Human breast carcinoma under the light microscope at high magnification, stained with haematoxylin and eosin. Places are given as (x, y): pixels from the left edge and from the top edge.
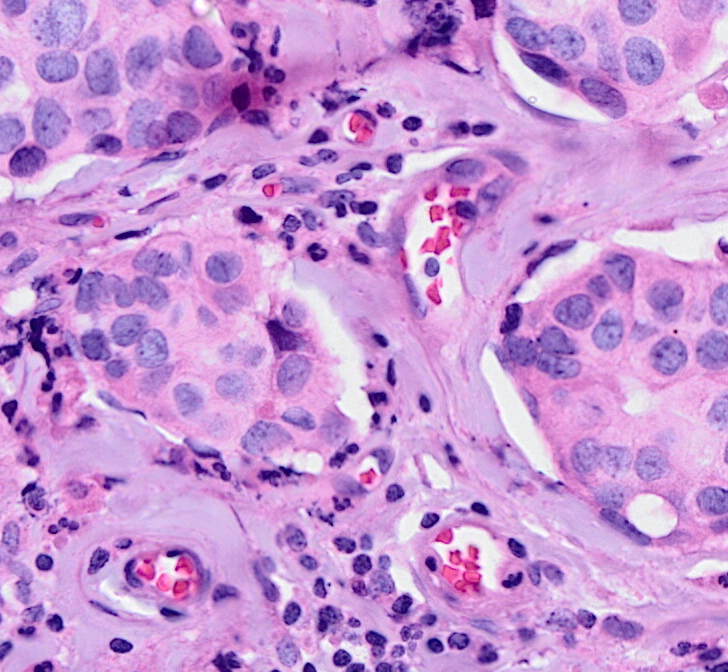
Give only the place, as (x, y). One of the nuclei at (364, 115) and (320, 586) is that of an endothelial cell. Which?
(364, 115)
